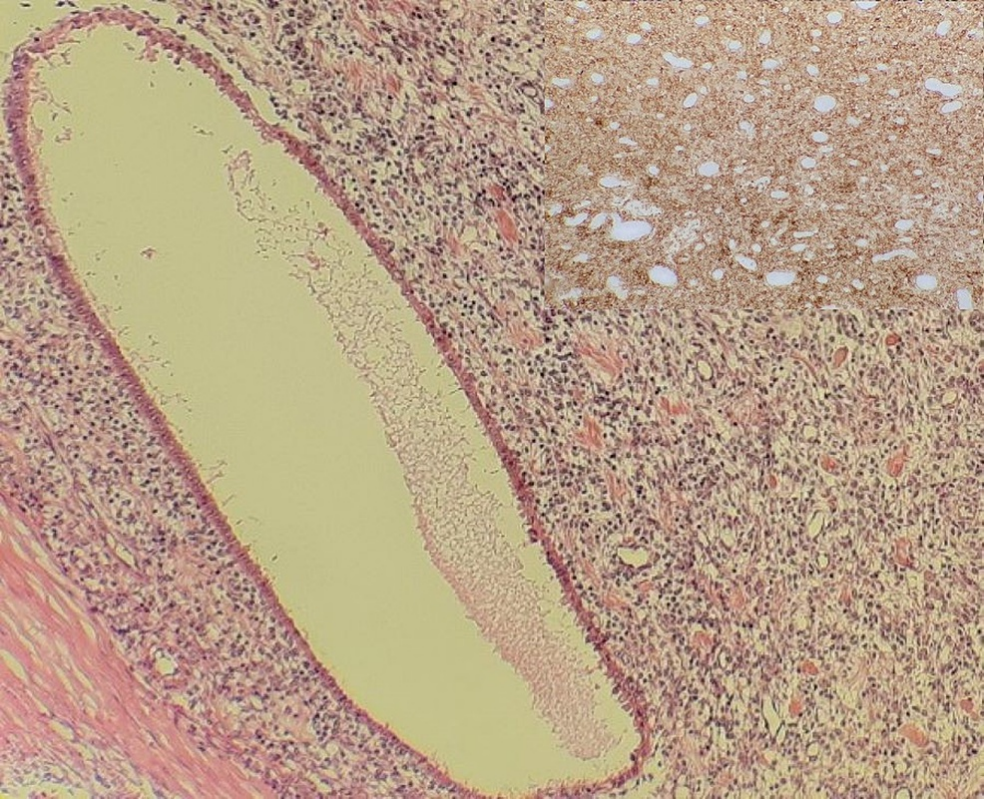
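Section of a mass showing an endometrial-type gland set within a monotonous, densely cellular stroma. The gland is a long, dilated space lined by a single layer of columnar epithelial cells, its lumen holding pale pink material. Around it, sheets of small uniform cells with dark oval to round nuclei and scant cytoplasm fill the field, with scattered small vessels and red blood cells among them. At the lower left, denser pink fibrous tissue borders the cellular area. In the inset, the cellular tissue is diffusely stained brown, with many small round unstained vessel spaces scattered through it.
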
